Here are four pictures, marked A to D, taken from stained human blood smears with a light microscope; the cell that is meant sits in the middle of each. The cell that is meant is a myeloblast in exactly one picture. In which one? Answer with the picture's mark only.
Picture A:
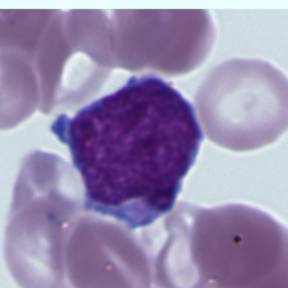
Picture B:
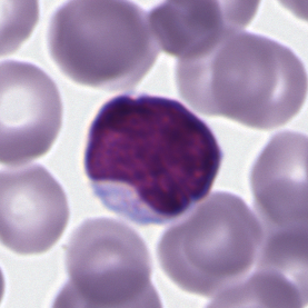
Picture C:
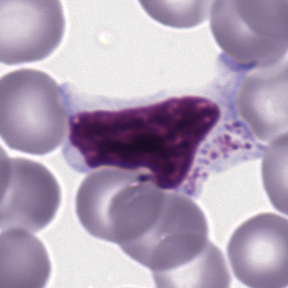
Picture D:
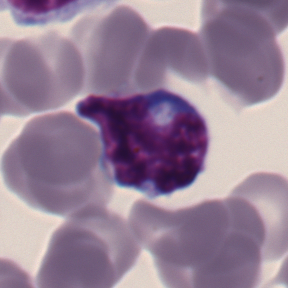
A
